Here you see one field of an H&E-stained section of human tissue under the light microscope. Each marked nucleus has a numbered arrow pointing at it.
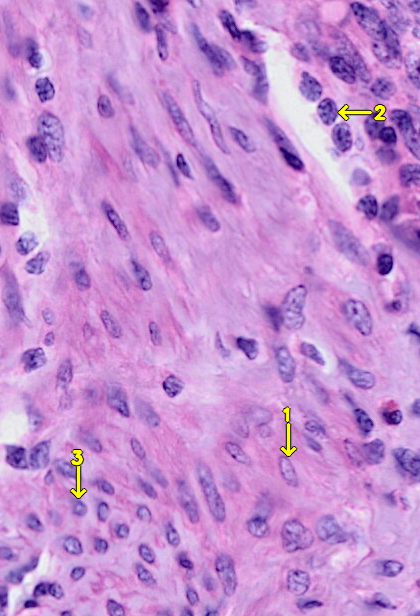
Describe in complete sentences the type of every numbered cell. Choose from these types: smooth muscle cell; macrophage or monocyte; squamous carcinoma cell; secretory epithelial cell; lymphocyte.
Cells 1 and 3 are smooth muscle cells. Cell 2 is a lymphocyte.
